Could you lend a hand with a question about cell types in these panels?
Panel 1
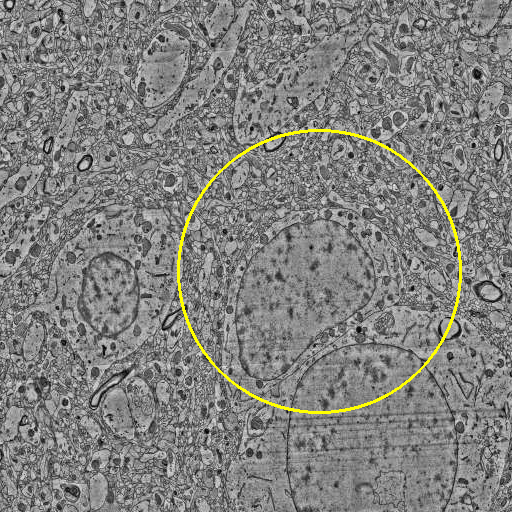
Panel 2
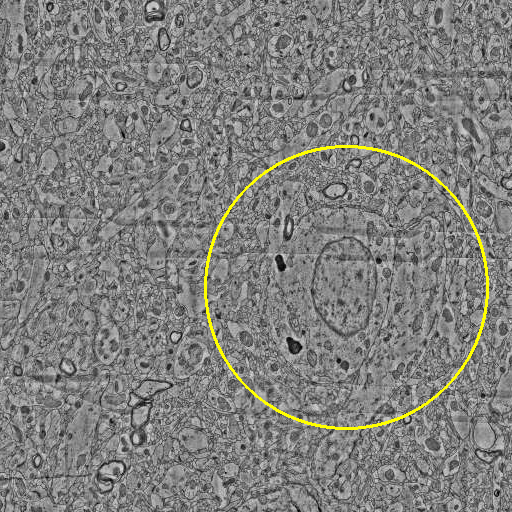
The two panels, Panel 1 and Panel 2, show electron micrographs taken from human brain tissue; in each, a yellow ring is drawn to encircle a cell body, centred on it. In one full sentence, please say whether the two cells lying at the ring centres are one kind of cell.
Yes, the cells at the ring centres in the two panels are one kind of cell.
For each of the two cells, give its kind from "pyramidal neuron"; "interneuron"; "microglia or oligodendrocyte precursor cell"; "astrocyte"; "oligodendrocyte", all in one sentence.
The ring centre holds a pyramidal neuron in each of the two pictures.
